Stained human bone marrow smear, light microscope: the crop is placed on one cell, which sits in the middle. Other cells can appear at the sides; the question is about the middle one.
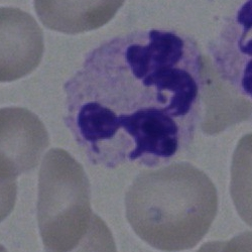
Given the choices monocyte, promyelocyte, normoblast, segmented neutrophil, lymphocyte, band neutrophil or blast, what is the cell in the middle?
segmented neutrophil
